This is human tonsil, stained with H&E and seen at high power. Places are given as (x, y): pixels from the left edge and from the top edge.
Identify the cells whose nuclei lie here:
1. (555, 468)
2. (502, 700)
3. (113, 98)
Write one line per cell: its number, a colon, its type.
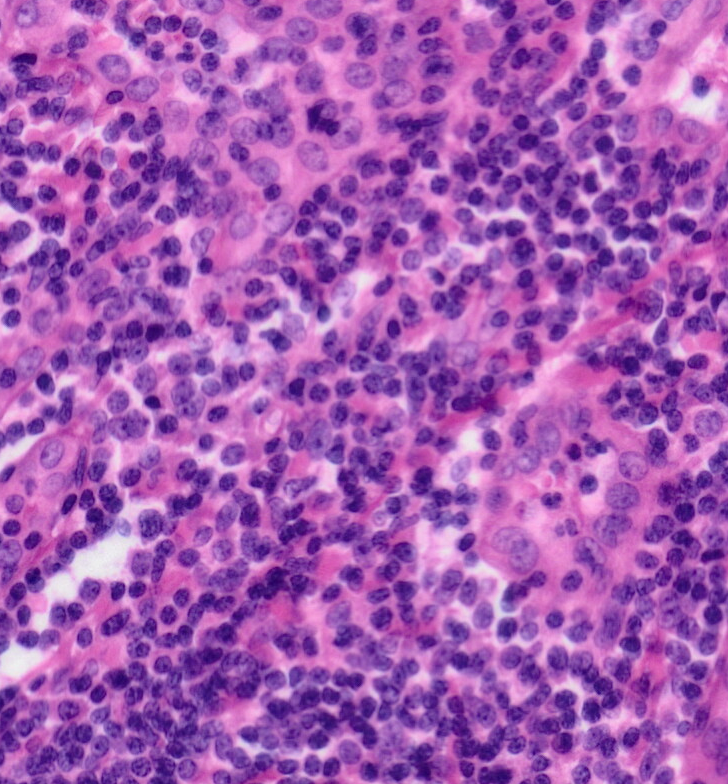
1: endothelial cell
2: small lymphocyte
3: endothelial cell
